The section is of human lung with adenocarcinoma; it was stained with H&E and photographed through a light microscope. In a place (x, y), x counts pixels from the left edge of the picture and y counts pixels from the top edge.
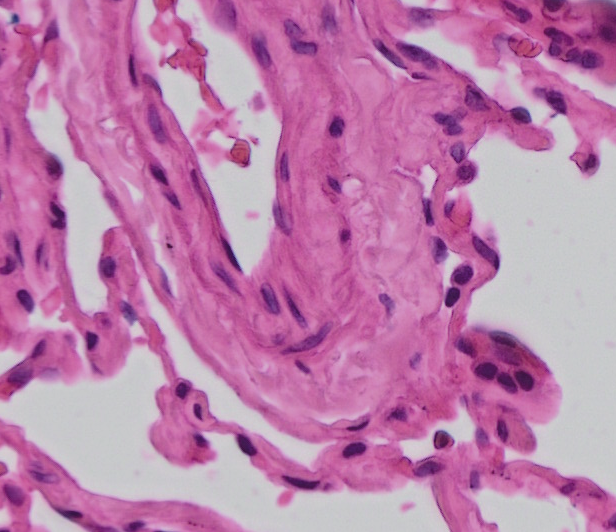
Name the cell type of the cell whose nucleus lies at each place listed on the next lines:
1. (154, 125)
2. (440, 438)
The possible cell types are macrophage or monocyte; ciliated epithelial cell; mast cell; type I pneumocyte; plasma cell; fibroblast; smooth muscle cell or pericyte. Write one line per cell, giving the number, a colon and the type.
1: smooth muscle cell or pericyte
2: type I pneumocyte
